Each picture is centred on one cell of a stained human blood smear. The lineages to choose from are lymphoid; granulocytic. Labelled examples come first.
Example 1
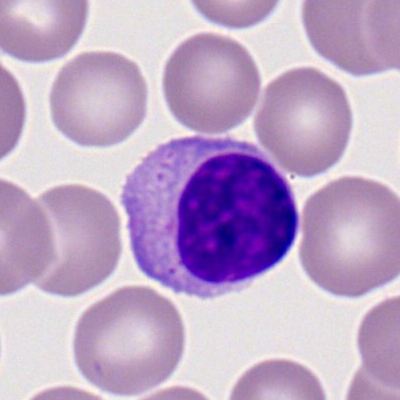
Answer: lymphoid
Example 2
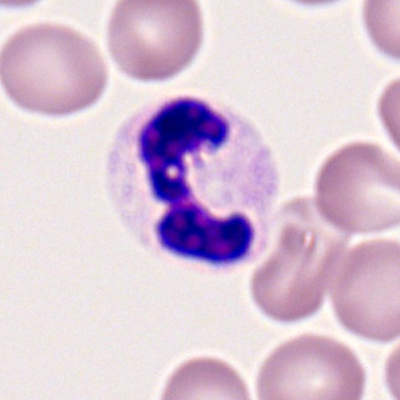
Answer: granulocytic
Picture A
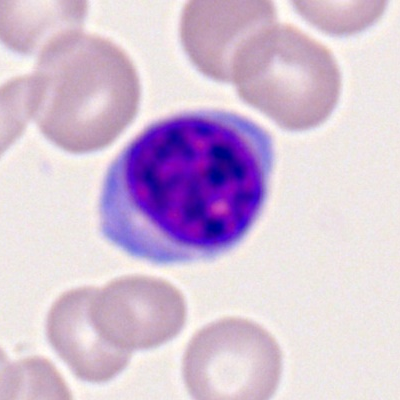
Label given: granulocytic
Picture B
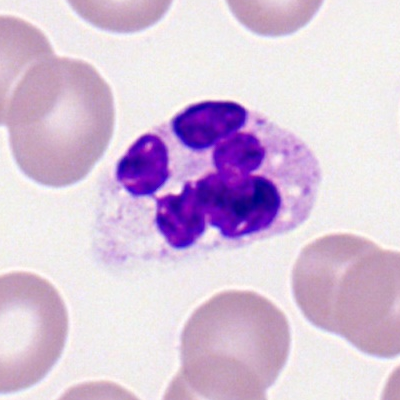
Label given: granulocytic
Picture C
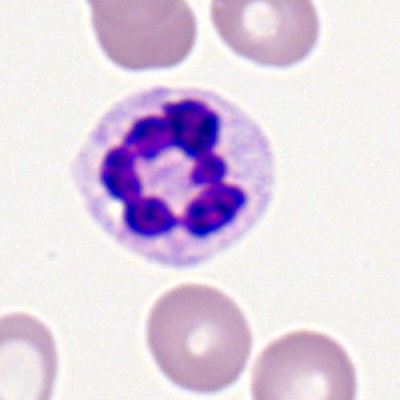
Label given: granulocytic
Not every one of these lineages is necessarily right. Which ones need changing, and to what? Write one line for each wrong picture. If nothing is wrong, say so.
A: not granulocytic but lymphoid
